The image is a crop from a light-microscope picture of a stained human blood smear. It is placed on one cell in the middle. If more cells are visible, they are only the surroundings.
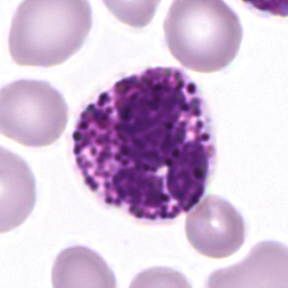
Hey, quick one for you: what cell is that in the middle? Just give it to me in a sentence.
In the center of this field lies a basophil.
